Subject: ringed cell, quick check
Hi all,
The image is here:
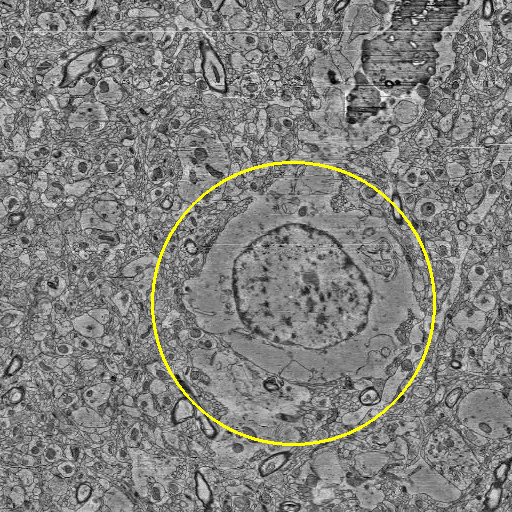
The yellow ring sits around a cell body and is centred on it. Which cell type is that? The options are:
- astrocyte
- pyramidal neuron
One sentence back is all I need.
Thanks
That ringed cell is an astrocyte.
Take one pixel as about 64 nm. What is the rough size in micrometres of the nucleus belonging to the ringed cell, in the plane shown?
In this plane the nucleus measures roughly 9 by 8 micrometers.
